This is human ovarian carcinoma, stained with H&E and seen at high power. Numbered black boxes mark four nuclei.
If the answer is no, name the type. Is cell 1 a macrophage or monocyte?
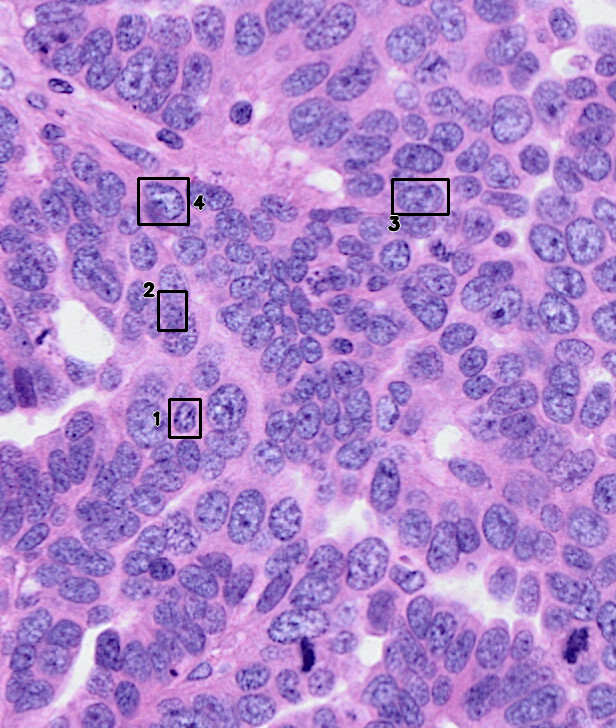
Yes.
